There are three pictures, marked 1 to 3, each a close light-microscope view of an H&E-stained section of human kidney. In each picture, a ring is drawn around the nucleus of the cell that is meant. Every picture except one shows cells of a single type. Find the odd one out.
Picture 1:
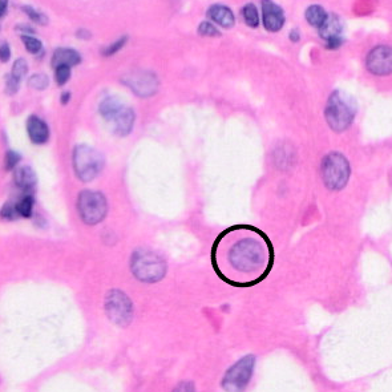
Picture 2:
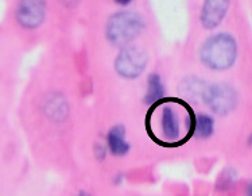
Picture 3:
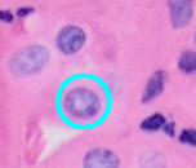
1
